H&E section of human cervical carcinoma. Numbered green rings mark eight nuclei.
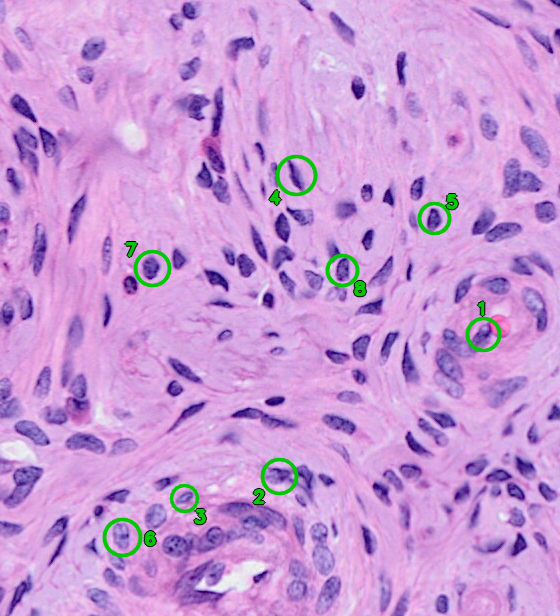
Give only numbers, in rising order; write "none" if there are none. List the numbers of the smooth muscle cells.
3, 6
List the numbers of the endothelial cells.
1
